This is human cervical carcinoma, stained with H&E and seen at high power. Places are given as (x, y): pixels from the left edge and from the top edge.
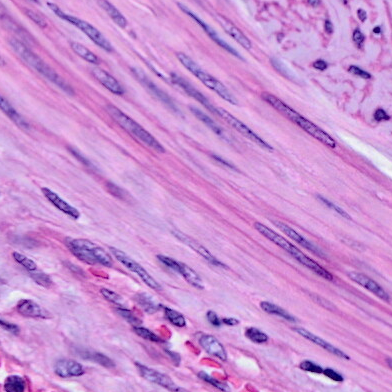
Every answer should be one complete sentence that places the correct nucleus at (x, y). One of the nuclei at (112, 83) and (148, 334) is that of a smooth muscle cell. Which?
Identify the nucleus at (112, 83) as the one belonging to a smooth muscle cell.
